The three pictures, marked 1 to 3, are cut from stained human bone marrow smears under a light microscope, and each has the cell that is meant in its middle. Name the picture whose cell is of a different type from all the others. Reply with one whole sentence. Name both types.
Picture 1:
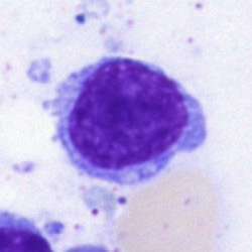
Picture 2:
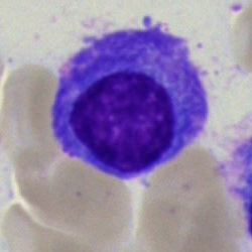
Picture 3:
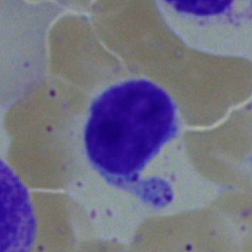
The different one is picture 2; it shows a plasma cell, whereas all the others show lymphocytes.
